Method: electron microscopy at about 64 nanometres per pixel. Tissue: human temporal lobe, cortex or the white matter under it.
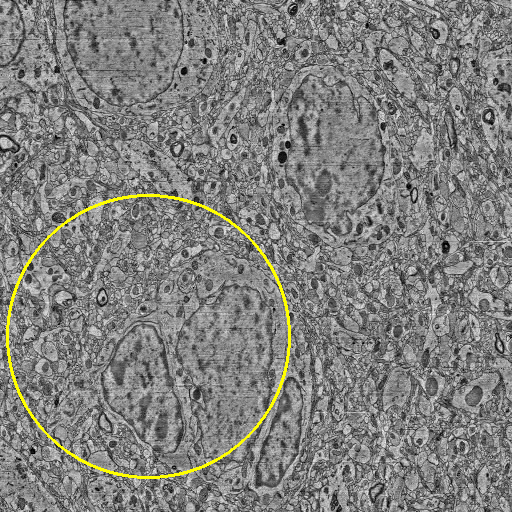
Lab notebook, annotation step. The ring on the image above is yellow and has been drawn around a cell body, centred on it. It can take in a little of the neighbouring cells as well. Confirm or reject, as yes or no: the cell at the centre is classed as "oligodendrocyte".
No, the cell is of another class.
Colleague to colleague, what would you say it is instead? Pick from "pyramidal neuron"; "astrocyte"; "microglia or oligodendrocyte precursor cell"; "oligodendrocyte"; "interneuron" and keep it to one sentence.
Sitting at the ring centre is a microglial cell or oligodendrocyte precursor cell.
